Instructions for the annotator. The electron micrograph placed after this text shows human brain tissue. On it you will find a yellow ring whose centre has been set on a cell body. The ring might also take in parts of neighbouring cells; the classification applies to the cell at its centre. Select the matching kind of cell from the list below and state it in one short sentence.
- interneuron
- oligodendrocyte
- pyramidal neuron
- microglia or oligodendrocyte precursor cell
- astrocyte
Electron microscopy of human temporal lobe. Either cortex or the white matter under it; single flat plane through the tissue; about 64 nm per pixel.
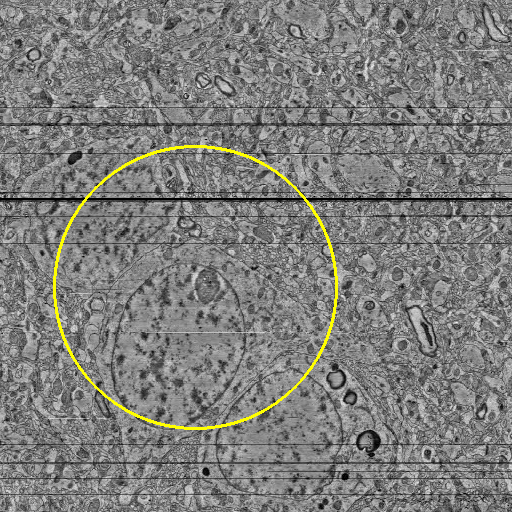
The ring is drawn on the cell body of a pyramidal neuron.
